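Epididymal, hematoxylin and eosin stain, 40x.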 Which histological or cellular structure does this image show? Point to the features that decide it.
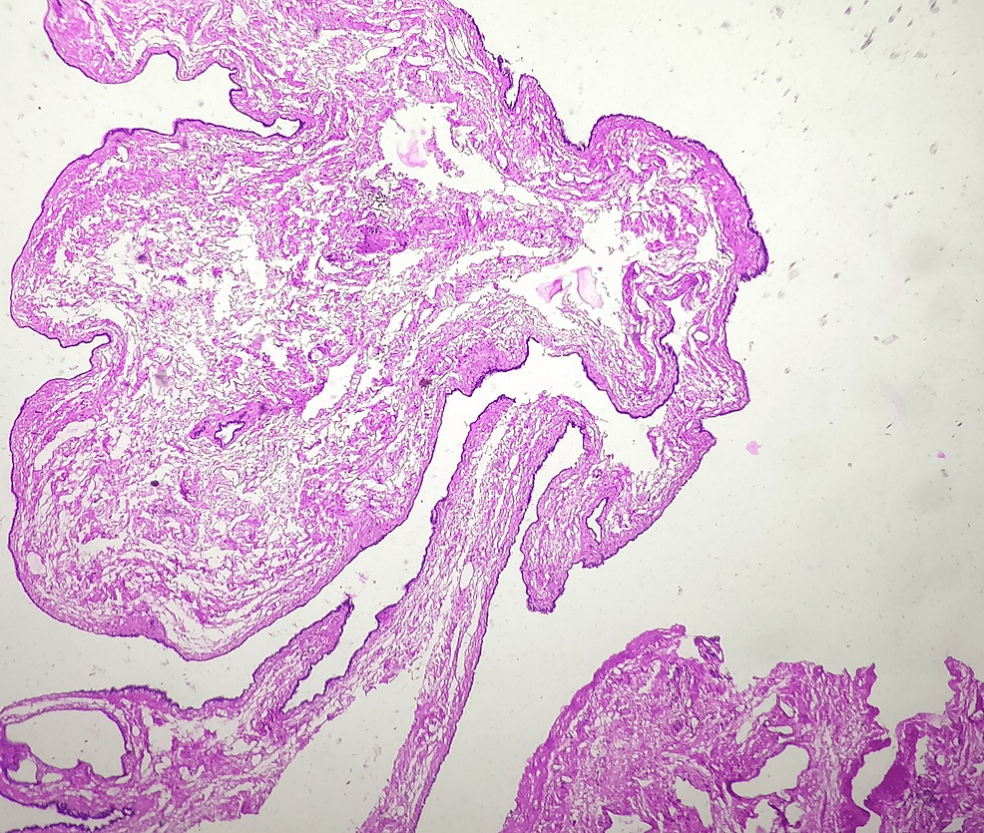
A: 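Broad, folded sheets of pale pink fibrous tissue. A thin, darker purple layer runs along the free surfaces of the tissue. Clear empty spaces lie beside the folded tissue.
Answer: fibrous cyst wall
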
